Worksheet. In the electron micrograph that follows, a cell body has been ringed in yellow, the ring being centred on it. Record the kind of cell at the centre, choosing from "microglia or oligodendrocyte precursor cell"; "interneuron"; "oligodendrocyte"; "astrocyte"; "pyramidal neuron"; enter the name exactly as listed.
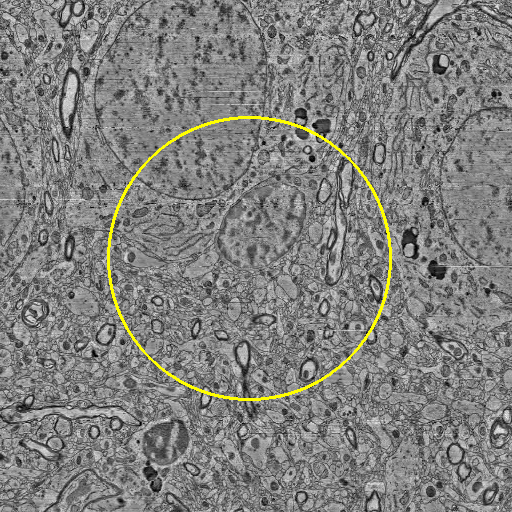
oligodendrocyte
